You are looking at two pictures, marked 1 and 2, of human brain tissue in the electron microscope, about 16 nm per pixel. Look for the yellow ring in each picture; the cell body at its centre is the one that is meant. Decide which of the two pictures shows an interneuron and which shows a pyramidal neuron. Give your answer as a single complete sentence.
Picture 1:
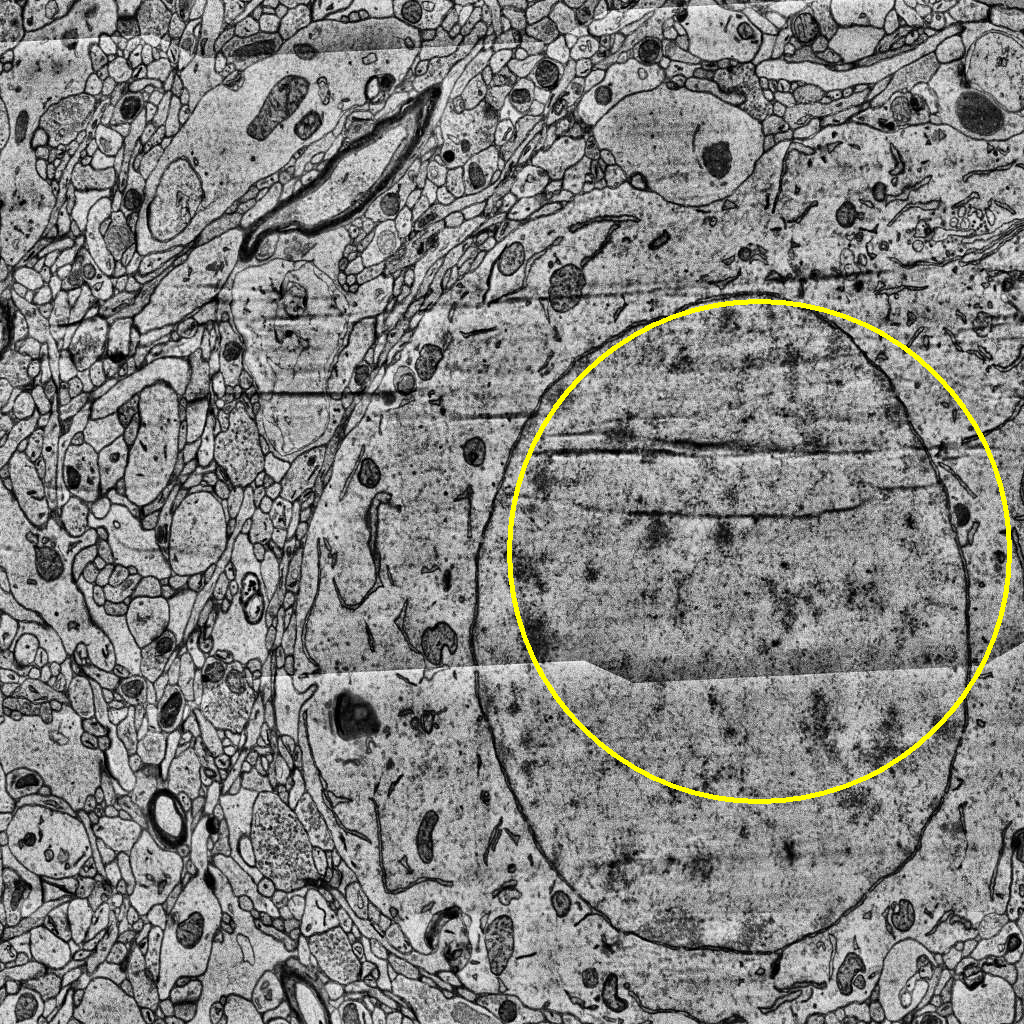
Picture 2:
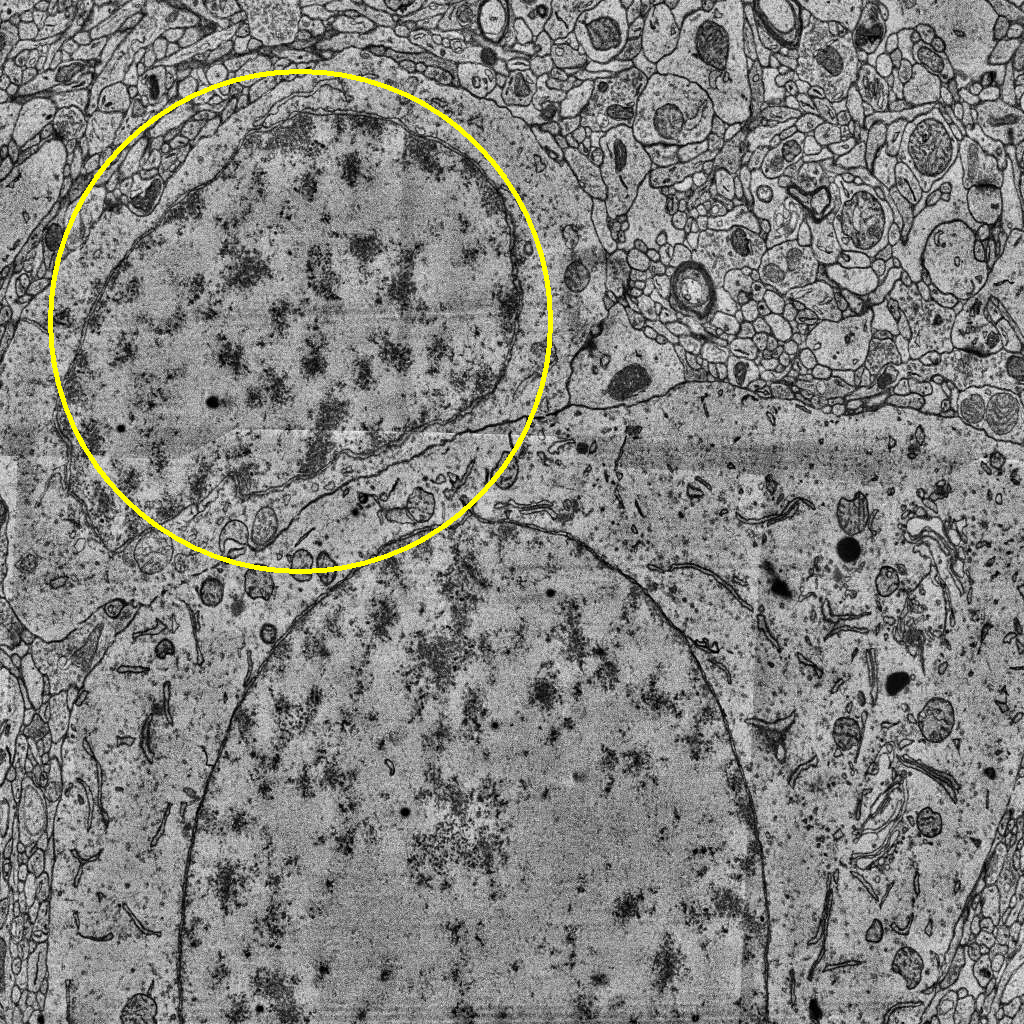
In picture 1 the cell is a pyramidal neuron; in picture 2, an interneuron.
